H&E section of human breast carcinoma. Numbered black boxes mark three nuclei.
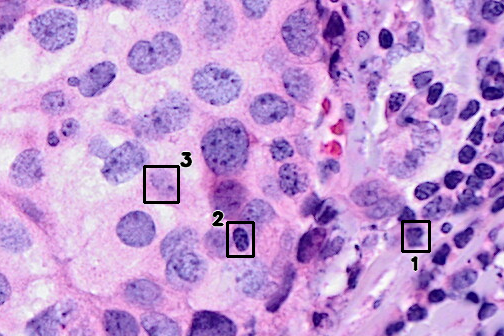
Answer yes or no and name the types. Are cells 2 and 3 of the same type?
No, what is marked as cell 2 is a lymphocyte, and what is marked as cell 3 is a carcinoma cell.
